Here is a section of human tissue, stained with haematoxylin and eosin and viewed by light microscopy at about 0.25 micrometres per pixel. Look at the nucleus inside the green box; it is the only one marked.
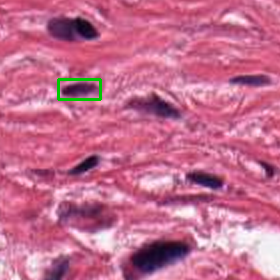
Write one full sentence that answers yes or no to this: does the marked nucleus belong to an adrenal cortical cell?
No, the cell bearing the marked nucleus is not an adrenal cortical cell but a supporting cell.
